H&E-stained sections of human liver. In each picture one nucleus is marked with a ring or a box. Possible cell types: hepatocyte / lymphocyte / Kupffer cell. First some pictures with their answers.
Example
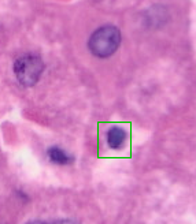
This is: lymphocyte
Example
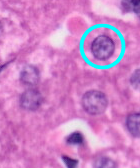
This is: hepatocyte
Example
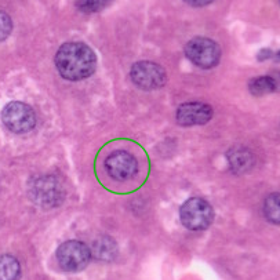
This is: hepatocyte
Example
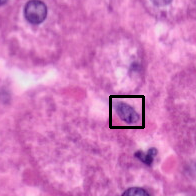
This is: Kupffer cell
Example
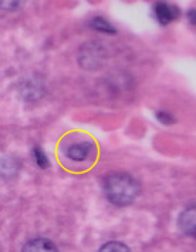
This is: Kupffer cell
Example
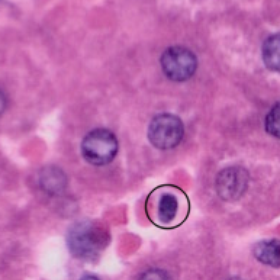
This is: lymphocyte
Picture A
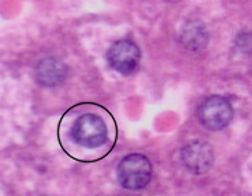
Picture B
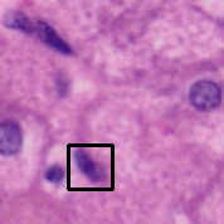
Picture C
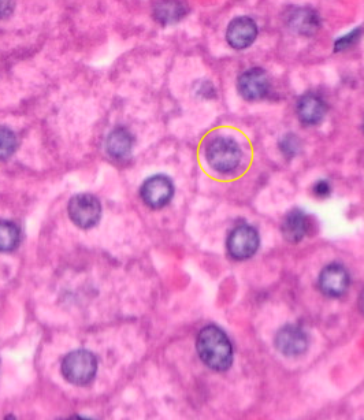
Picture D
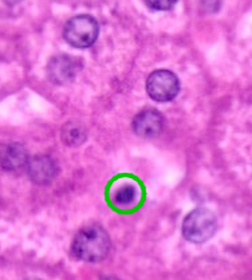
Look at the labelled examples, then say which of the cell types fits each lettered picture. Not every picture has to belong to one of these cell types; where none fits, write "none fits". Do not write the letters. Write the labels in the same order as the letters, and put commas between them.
hepatocyte, none fits, hepatocyte, lymphocyte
